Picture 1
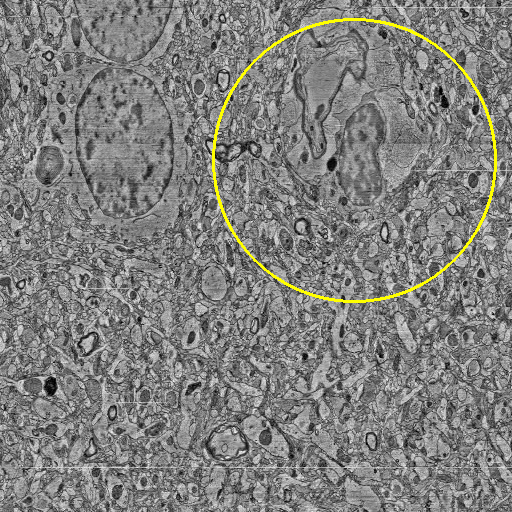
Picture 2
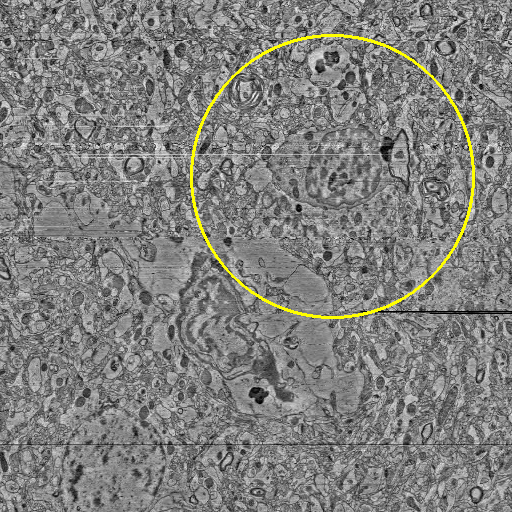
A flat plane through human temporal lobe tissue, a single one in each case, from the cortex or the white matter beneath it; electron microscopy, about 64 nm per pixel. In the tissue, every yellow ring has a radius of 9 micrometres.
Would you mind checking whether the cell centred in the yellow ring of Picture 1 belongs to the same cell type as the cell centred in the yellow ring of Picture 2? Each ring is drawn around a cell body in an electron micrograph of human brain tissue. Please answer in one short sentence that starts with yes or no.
Yes, both cells are of the same type.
